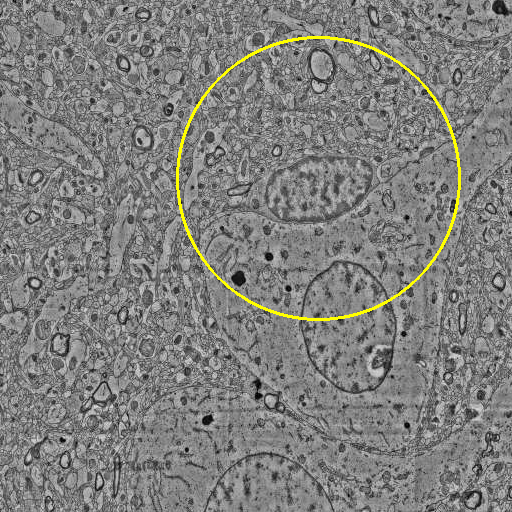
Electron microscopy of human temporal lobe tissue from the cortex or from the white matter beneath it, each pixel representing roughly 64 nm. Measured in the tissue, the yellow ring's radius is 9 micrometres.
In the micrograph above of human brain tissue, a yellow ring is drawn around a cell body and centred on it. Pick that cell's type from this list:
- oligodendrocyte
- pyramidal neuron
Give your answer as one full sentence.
Going by the list, an oligodendrocyte is the cell on which the yellow ring is centred.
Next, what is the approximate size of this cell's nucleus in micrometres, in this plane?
Approximately 7 by 4 micrometers, which makes the nucleus clearly longer than it is wide in this plane.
